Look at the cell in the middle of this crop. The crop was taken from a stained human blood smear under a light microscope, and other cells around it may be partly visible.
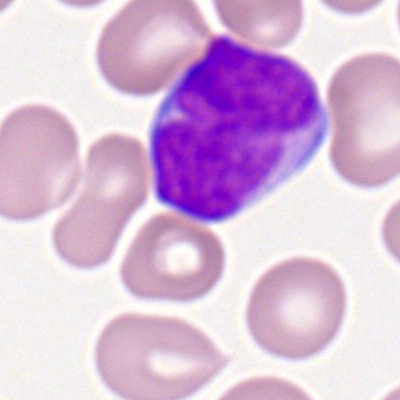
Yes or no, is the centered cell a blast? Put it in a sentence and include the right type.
Yes, the cell centred in this crop is a blast.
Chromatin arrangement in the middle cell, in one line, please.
This nucleus has coarsely clumped chromatin.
